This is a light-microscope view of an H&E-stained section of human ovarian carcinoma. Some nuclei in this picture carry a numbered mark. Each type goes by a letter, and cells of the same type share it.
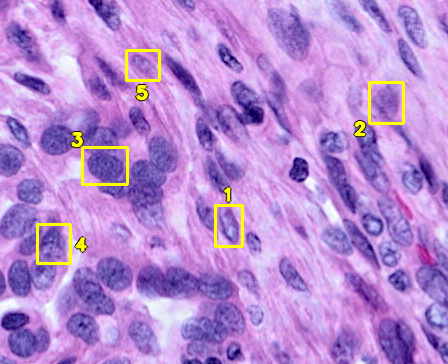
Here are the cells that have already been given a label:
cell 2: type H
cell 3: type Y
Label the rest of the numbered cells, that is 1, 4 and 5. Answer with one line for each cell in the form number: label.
1: type H
4: type Y
5: type H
